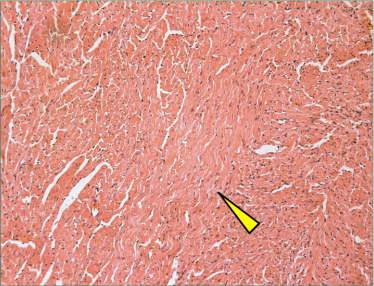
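This is heart muscle with pink cardiac muscle fibers and small dark elongated nuclei lying along them. Across the centre the fibers are cut lengthwise and run in closely packed, parallel but undulating lines, giving a wavy pattern rather than straight fibers. Toward the edges the bundles are separated by pale clefts of varying width. No clumps of blood or inflammatory cells stand out. The wavy course of the muscle fibers is the feature that distinguishes this field from straight, regularly arranged myocardium.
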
